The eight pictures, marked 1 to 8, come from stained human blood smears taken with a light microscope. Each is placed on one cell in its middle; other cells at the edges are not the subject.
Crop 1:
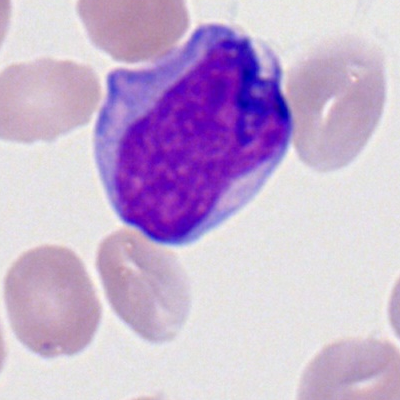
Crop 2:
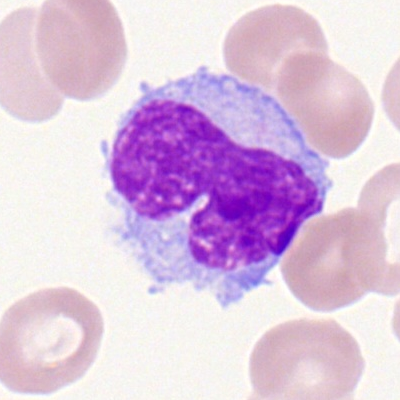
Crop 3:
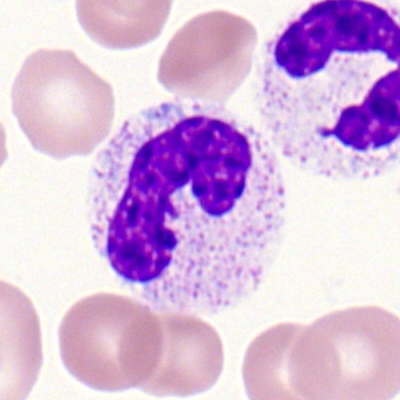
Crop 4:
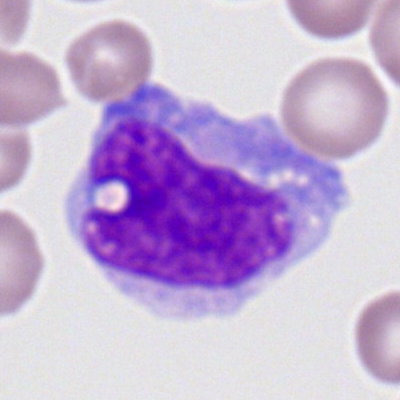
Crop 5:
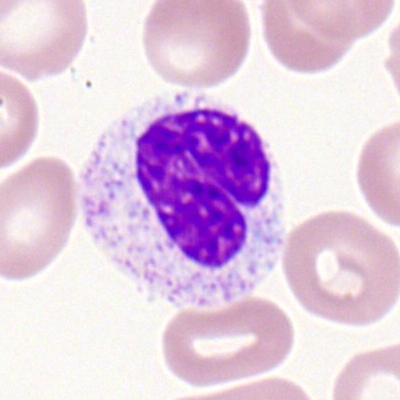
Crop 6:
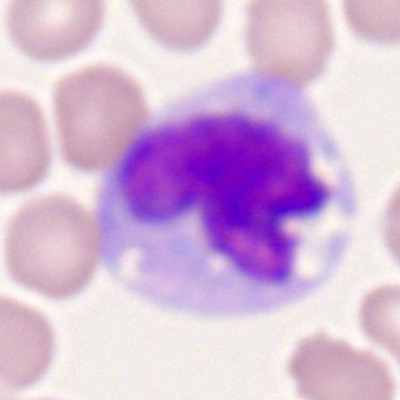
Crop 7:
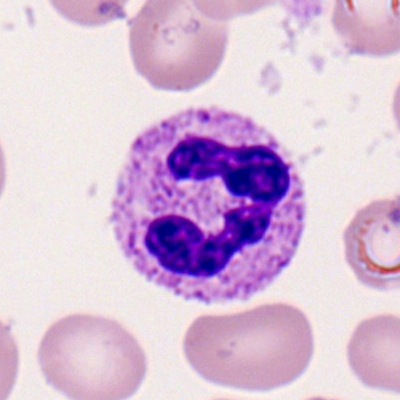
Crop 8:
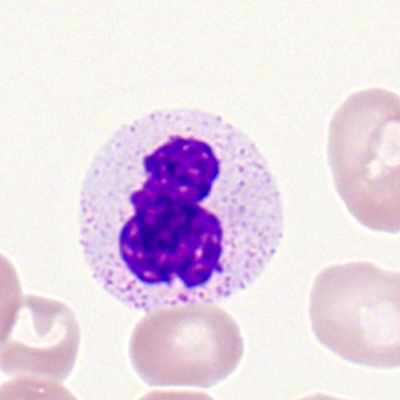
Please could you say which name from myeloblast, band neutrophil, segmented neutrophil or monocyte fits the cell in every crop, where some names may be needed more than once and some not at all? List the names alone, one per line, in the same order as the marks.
myeloblast
monocyte
band neutrophil
monocyte
band neutrophil
monocyte
segmented neutrophil
segmented neutrophil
